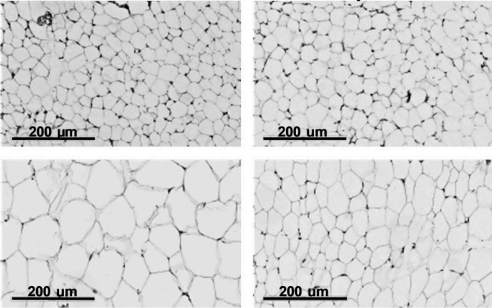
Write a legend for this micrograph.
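These are sections of adipose tissue made up almost entirely of adipocytes. Each adipocyte appears as a clear, empty-looking space where the lipid droplet was lost in processing. It is outlined by a thin dark rim of cytoplasm and membrane. Together the cells form a honeycomb of rounded to polygonal profiles with very little stroma between them. Cell size differs clearly among the four fields. In the upper two, the adipocytes are small and numerous and tightly packed. In the lower left field, many adipocytes are much larger and more varied in size. The lower right field shows cells of intermediate size.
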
